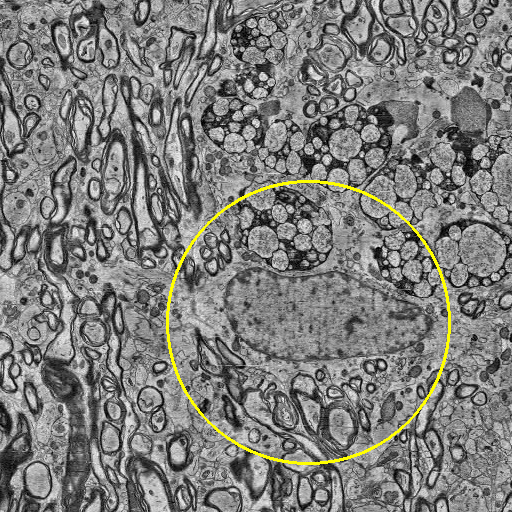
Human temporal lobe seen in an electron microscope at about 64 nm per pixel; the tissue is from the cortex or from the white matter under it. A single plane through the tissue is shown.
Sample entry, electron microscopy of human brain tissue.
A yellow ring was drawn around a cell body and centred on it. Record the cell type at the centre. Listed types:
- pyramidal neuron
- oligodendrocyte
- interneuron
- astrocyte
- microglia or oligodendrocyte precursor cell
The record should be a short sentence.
The cell at the ring's centre is an astrocyte.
